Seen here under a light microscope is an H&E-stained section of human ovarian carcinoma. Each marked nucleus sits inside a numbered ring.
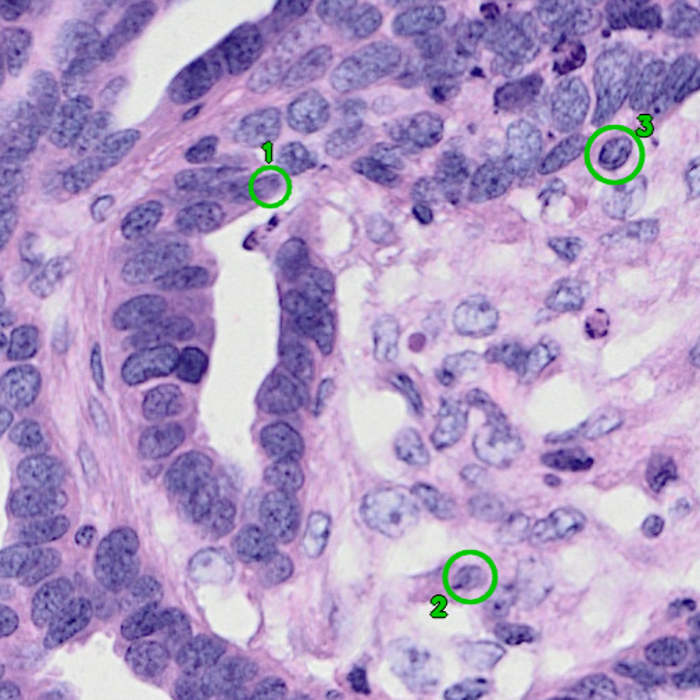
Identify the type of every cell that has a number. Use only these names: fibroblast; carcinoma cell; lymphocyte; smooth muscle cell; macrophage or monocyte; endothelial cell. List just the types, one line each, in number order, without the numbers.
carcinoma cell
macrophage or monocyte
macrophage or monocyte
